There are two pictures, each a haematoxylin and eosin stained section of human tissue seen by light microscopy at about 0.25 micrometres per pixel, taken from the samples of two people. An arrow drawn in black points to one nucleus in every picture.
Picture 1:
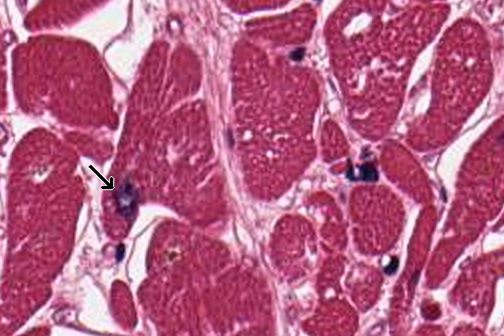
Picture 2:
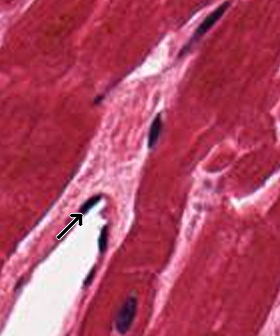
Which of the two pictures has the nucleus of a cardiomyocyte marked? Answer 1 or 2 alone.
1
